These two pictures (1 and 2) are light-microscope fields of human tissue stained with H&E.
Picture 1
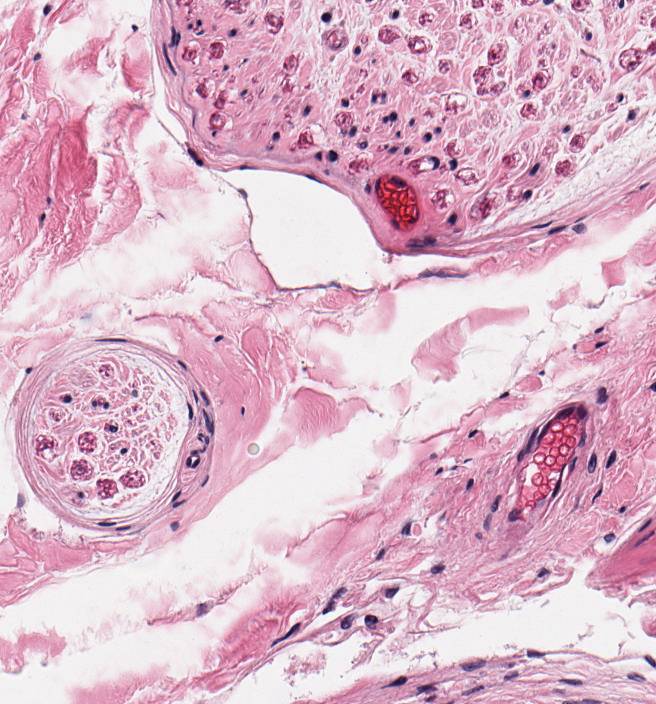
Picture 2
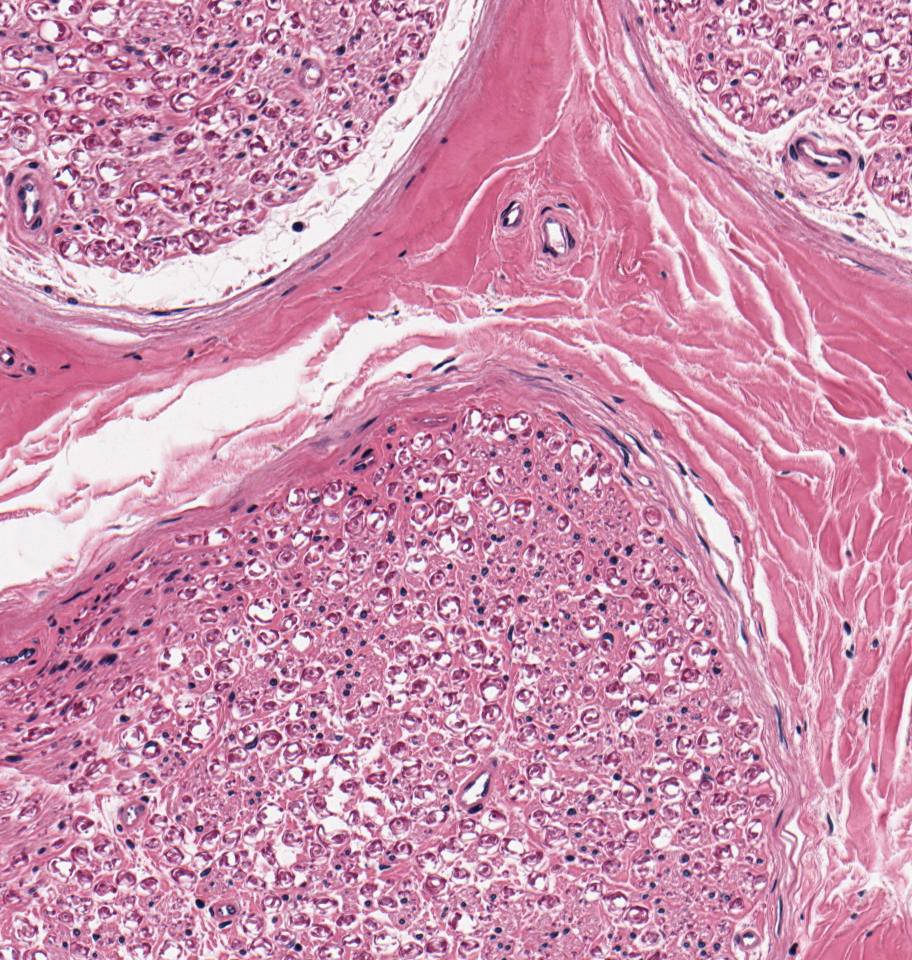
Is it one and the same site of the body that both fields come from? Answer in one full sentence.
Yes, they come from the same site of the body: both come from the tibial nerve.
